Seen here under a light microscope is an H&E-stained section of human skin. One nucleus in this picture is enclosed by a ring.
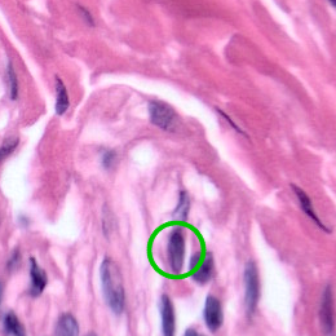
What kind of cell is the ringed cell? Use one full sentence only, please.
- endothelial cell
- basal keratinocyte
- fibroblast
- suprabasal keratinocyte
Just put down that the ringed cell is an endothelial cell.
